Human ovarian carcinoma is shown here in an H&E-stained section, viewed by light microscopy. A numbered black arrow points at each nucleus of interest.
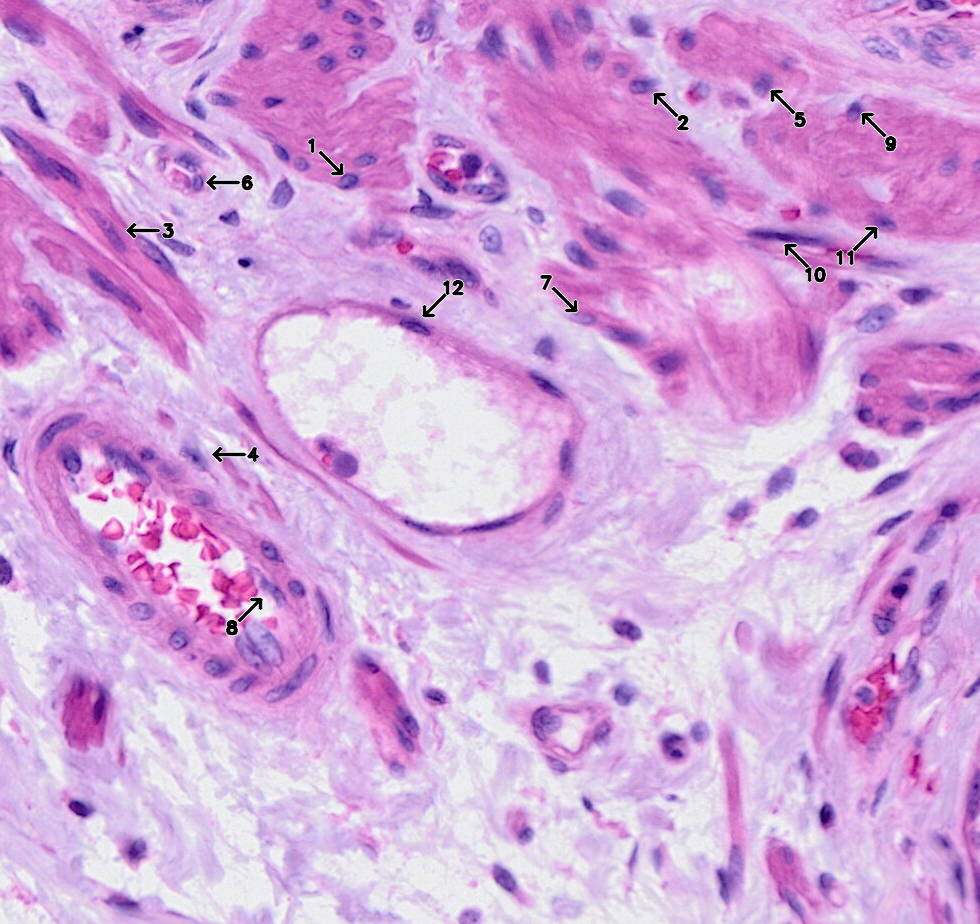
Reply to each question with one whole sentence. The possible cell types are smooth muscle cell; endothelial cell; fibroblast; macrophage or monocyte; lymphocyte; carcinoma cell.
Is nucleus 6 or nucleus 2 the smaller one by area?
The smaller nucleus is 6, and 2 covers roughly 2 times its area.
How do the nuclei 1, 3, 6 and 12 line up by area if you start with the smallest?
By area, going up from the smallest, they rank 6, 1, 12, 3.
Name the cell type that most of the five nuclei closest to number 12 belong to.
Most of the five nuclei nearest to number 12 are those of endothelial cells.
